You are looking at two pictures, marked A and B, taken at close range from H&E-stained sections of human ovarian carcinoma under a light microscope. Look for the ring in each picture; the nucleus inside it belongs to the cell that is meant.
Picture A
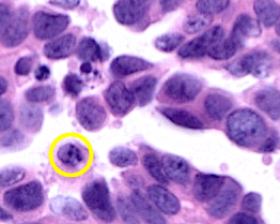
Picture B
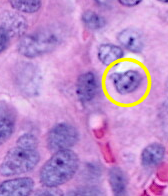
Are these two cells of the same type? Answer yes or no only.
yes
